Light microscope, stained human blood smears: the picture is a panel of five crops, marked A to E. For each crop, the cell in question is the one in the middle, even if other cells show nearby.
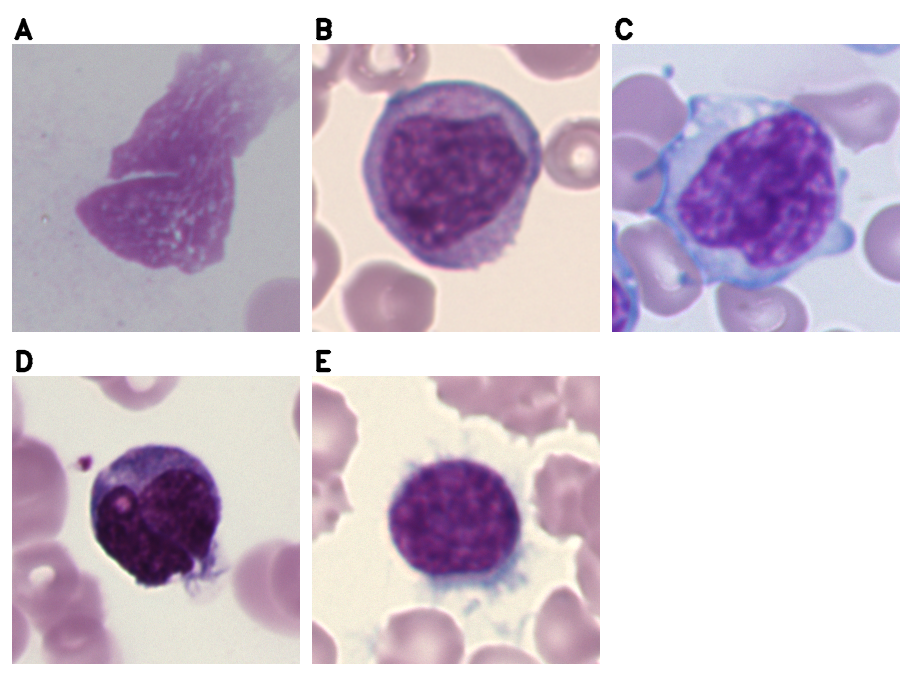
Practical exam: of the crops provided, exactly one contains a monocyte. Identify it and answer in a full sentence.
Of all the crops, crop D is the one showing a monocyte.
